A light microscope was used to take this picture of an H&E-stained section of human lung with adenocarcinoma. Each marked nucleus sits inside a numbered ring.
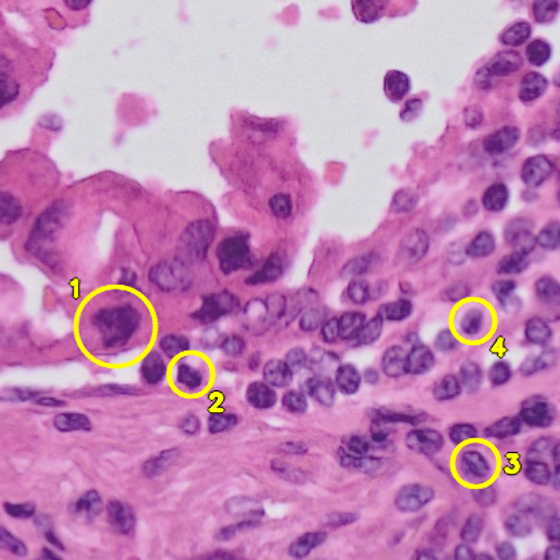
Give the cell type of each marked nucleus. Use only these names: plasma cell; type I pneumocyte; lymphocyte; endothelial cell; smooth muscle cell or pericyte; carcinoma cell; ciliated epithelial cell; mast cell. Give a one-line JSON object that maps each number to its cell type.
{"1": "carcinoma cell", "2": "lymphocyte", "3": "lymphocyte", "4": "lymphocyte"}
